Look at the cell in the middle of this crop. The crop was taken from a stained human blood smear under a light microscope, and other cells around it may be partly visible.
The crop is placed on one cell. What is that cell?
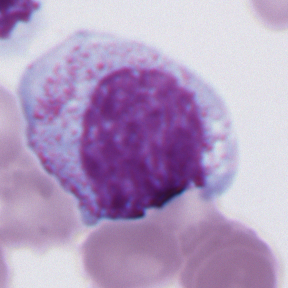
myelocyte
